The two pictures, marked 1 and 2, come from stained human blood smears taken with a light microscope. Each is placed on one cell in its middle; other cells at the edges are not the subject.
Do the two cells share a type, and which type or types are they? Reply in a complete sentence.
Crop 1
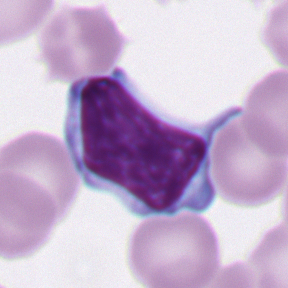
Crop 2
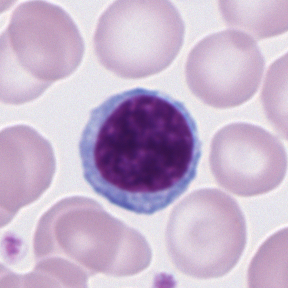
Yes, it is typical lymphocytes that occupy the middle of both crops.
